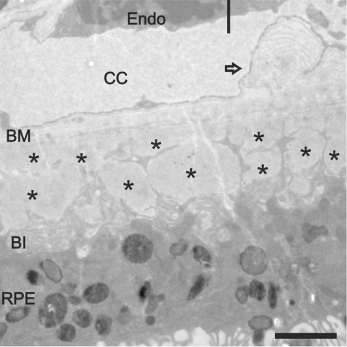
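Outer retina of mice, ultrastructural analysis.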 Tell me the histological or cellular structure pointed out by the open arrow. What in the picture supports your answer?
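The thin cell lining of the capillary lumen bulges outward into the lumen at the arrow. The bulge contains concentric layered membranes.
Conclusion: protrusions of the choriocapillary endothelium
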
